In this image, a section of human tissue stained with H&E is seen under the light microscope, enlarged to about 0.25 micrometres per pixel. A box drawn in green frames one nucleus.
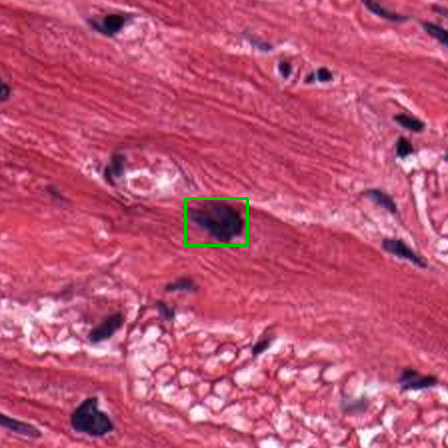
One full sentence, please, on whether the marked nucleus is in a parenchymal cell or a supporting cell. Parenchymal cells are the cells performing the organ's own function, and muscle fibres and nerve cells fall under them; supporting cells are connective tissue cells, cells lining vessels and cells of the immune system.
The marked nucleus is identified as that of a parenchymal cell, namely a cardiomyocyte.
